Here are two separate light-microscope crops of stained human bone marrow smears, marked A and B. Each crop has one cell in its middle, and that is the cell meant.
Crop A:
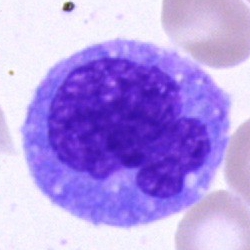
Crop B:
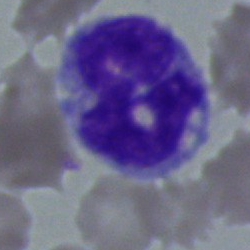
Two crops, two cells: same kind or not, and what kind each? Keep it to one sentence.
Yes, both crops contain monocytes at their centres.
